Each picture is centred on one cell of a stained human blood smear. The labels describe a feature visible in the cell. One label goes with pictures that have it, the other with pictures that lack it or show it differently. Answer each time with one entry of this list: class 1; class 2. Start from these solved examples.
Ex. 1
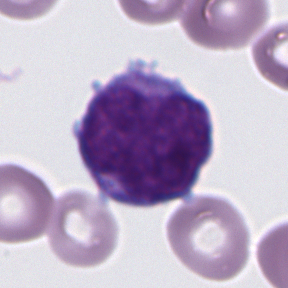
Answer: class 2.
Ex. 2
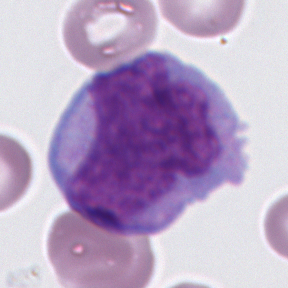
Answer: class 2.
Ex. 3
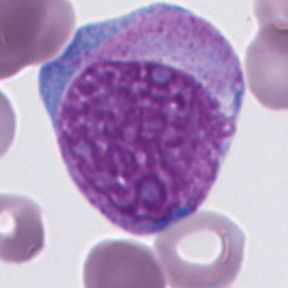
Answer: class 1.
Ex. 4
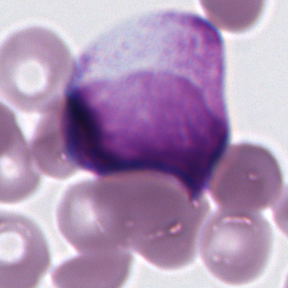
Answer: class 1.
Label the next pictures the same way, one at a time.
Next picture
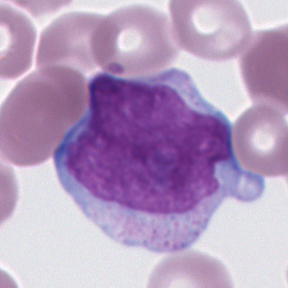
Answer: class 1.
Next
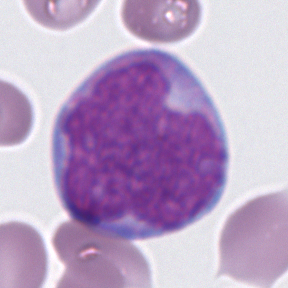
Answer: class 2.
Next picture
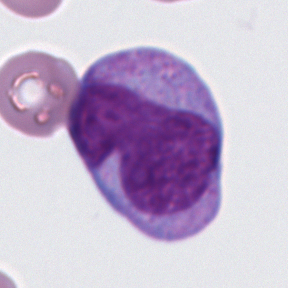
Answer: class 1.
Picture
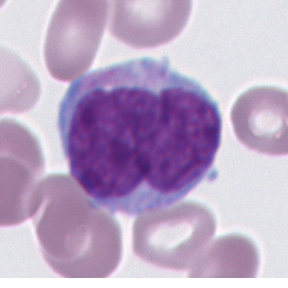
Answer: class 2.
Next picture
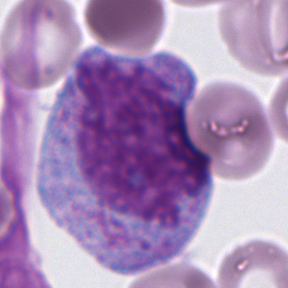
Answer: class 1.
